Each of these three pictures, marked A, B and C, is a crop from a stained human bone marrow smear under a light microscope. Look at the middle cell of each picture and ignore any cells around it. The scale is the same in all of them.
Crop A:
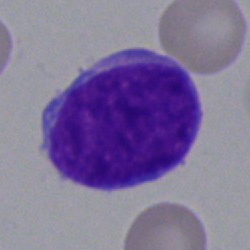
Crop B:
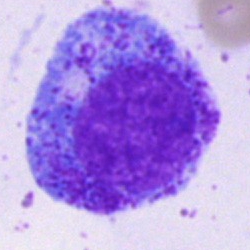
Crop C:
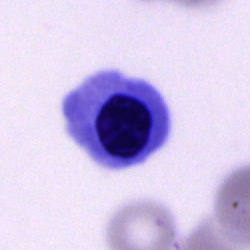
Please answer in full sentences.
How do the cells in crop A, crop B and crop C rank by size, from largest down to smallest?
Going down, they run B, A, C.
